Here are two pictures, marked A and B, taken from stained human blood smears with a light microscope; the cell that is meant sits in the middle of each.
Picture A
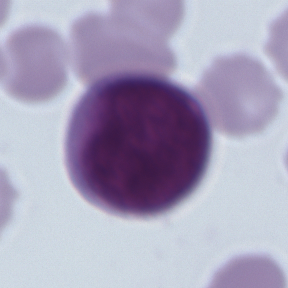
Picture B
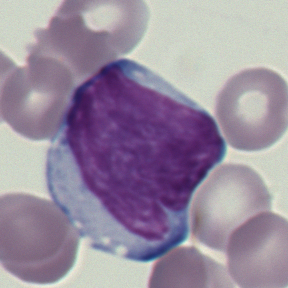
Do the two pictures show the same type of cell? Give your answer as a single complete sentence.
Yes, they are the same type: both are myeloblasts.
